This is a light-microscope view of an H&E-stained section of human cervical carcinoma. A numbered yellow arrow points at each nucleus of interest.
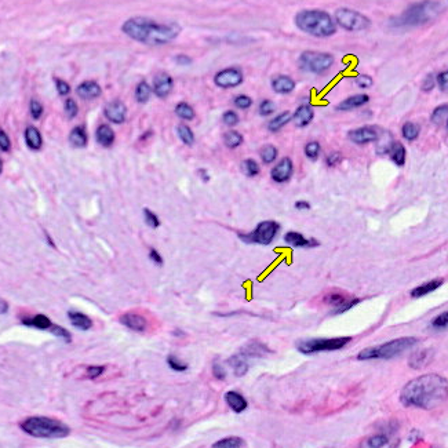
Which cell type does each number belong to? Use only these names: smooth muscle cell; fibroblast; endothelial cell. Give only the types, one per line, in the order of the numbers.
fibroblast
smooth muscle cell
